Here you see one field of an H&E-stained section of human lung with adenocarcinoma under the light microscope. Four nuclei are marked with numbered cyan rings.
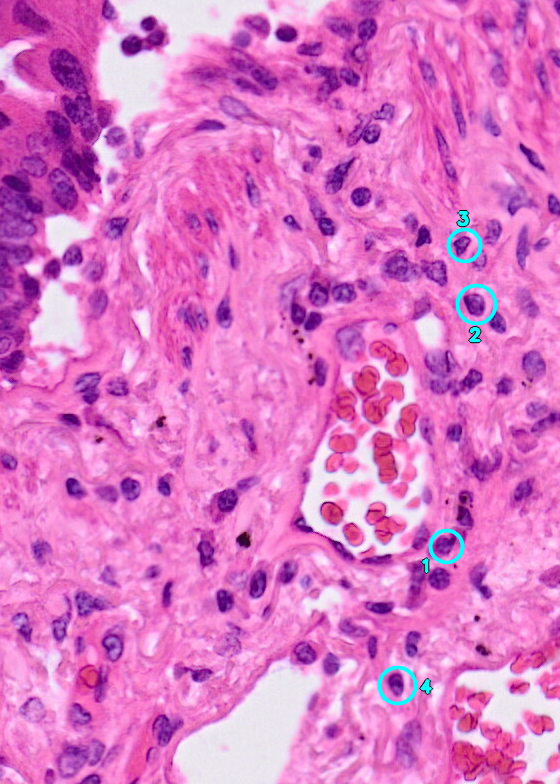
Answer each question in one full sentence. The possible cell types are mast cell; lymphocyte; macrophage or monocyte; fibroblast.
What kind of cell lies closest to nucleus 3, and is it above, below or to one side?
The closest nucleus belongs to a mast cell and sits below and to the right of nucleus 3.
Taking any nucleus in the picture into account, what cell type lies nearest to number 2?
Number 2 lies closest to the nucleus of a lymphocyte.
